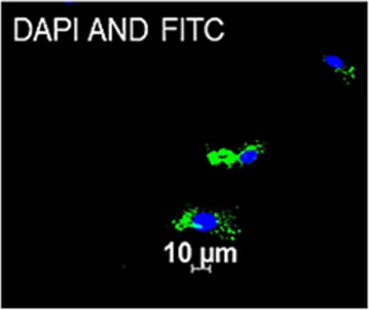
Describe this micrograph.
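Green fluorescence gathers beside the nuclei as irregular clumps and many fine dots spreading a short way out into the cytoplasm. The cells lie well apart from one another.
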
